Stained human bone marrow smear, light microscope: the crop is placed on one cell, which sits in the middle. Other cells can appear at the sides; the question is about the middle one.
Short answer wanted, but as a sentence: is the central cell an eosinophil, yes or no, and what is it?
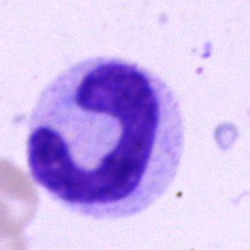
No, the cell positioned in the middle is a band neutrophil, not an eosinophil.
